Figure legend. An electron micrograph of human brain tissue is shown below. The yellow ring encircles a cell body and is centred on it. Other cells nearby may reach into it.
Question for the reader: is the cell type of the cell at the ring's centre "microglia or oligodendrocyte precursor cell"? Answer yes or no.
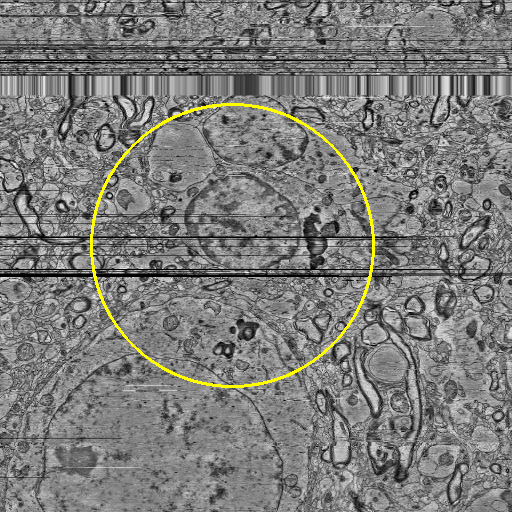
no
